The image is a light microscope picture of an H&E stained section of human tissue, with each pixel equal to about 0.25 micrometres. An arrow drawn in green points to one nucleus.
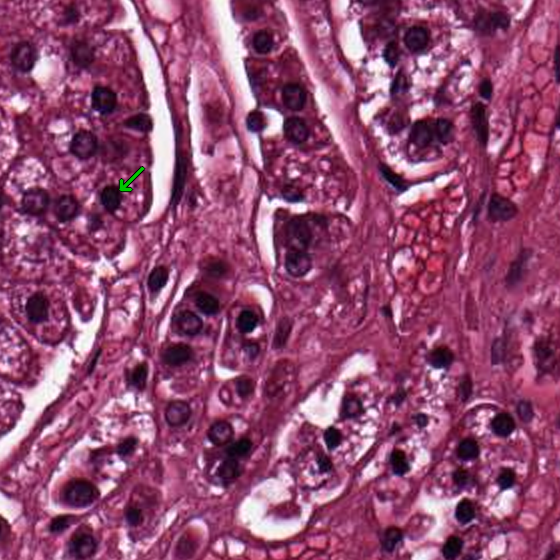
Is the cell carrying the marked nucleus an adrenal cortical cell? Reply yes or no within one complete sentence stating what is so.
Yes, in this image it is an adrenal cortical cell that contains the marked nucleus.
